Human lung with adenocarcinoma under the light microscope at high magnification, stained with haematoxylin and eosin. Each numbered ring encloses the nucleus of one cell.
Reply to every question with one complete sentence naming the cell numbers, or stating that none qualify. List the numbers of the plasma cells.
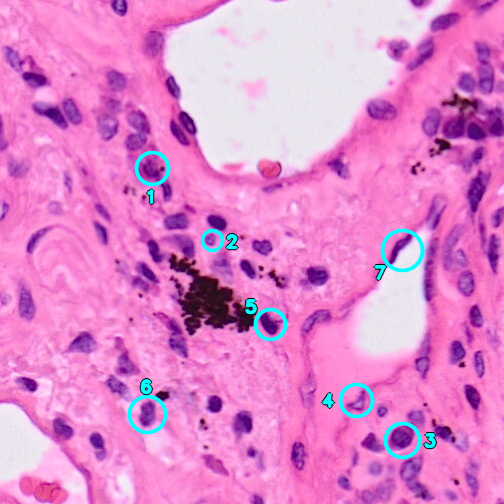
Here, the cells that carry numbers 1 and 3 are plasma cells.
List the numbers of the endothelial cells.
The cells 4 and 7 in this section are endothelial cells.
